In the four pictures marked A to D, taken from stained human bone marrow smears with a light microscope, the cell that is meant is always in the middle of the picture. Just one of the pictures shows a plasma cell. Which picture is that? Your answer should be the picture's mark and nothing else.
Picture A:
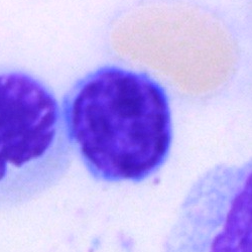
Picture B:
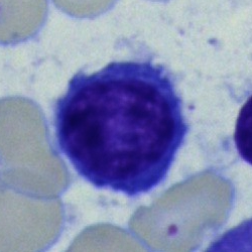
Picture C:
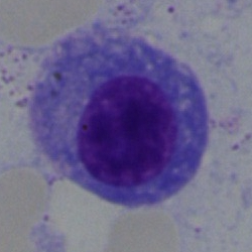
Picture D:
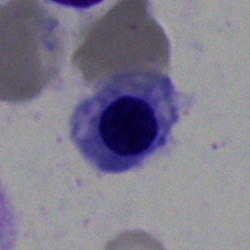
C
